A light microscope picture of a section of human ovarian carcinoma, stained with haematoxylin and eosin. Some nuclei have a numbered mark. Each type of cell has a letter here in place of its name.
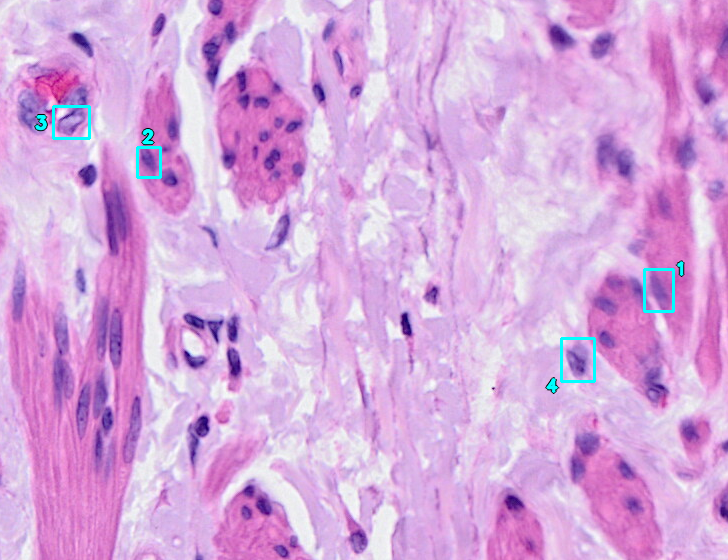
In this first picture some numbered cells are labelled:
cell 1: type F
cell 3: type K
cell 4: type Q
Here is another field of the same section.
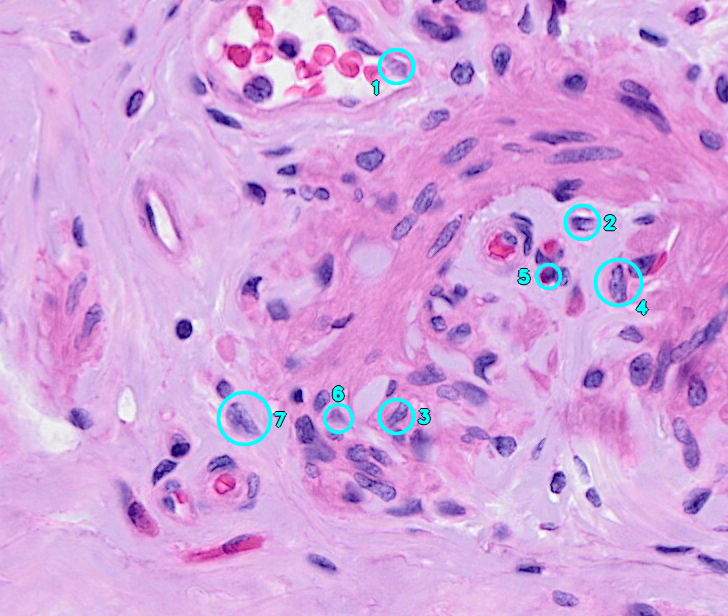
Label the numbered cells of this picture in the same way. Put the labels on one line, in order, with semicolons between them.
type K; type K; type F; type K; type K; type F; type Q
